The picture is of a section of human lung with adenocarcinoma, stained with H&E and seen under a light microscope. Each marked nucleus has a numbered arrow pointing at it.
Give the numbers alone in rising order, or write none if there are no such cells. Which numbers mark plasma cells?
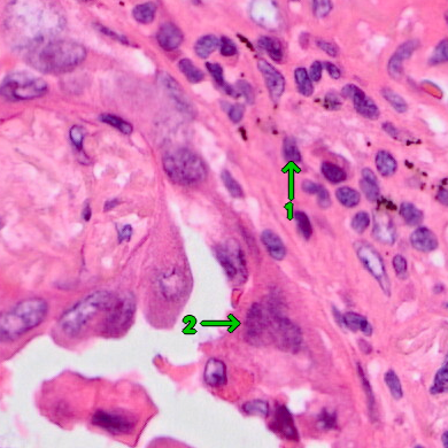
1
